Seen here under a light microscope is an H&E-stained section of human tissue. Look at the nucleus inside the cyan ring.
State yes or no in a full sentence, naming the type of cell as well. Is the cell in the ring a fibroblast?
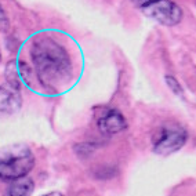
No, the cell in the ring is to be classified as a squamous carcinoma cell rather than a fibroblast.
